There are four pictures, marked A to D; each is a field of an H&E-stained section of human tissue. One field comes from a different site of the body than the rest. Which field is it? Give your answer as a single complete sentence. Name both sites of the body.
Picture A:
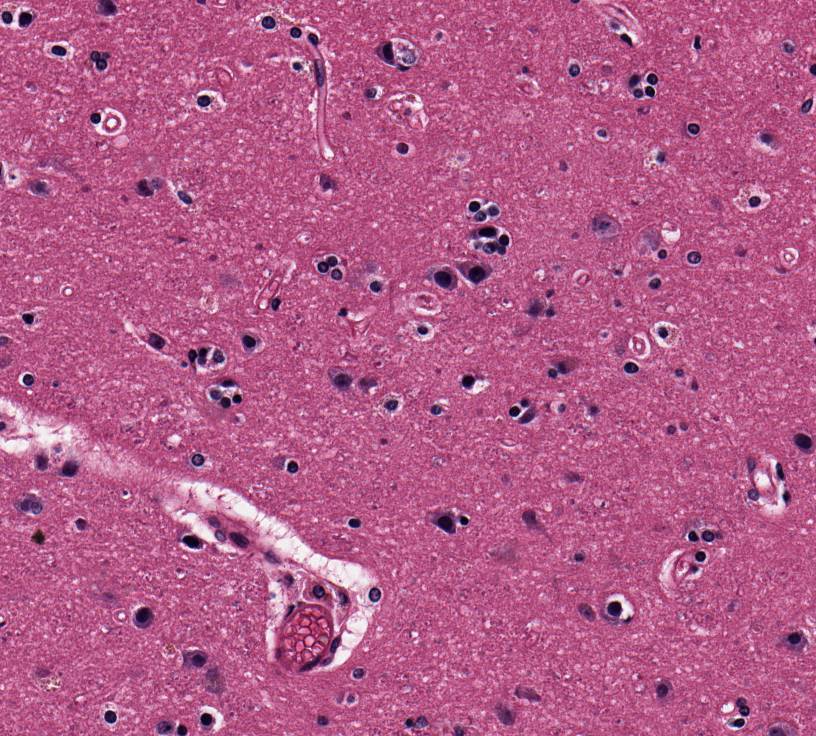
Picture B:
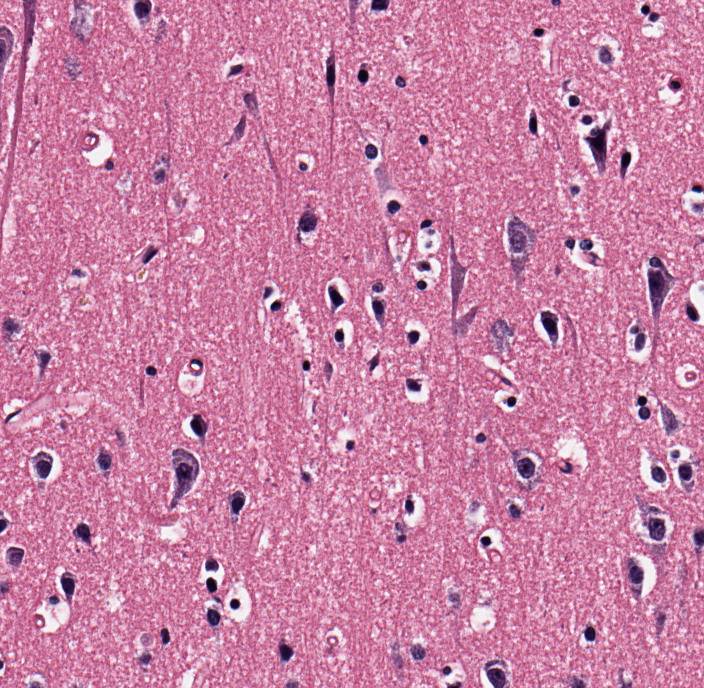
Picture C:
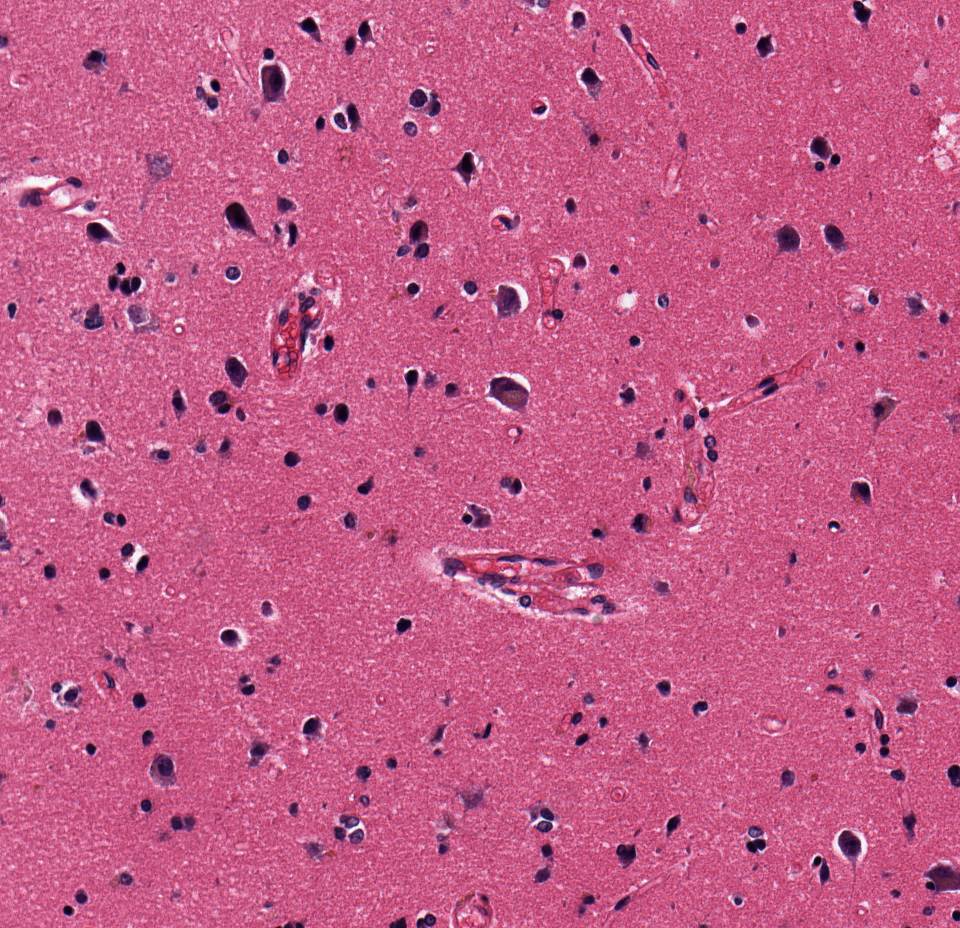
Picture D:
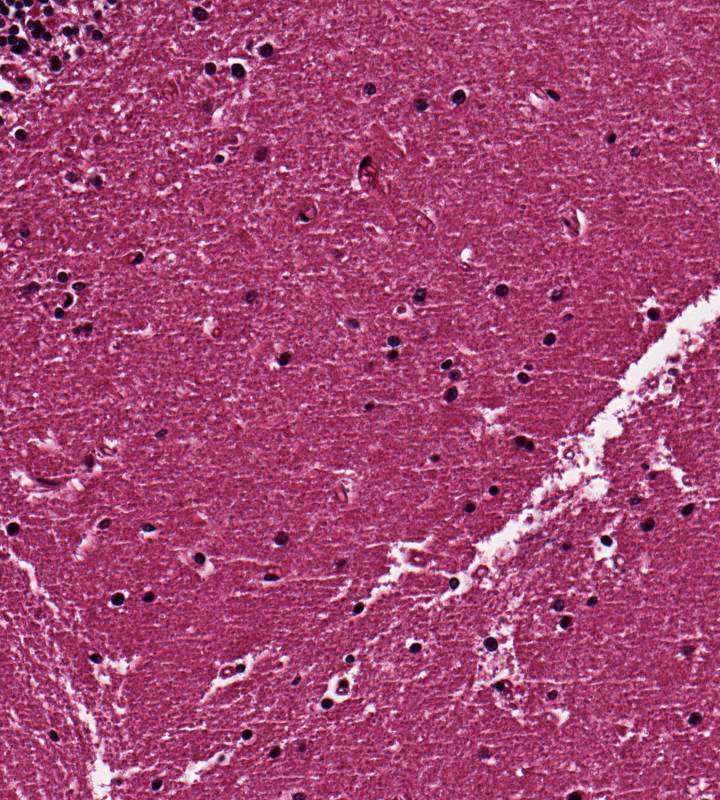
The others come from the cerebral cortex, but picture D comes from the cerebellum.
